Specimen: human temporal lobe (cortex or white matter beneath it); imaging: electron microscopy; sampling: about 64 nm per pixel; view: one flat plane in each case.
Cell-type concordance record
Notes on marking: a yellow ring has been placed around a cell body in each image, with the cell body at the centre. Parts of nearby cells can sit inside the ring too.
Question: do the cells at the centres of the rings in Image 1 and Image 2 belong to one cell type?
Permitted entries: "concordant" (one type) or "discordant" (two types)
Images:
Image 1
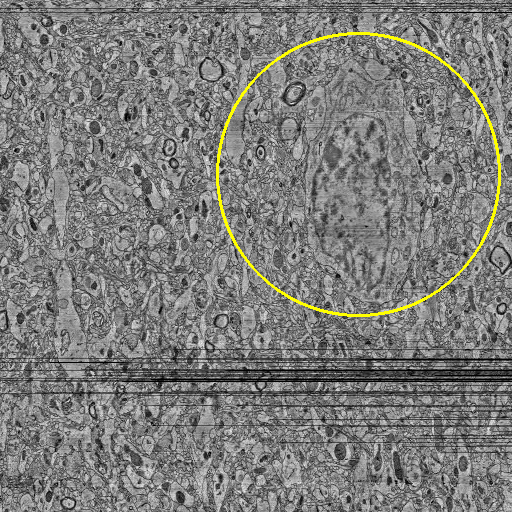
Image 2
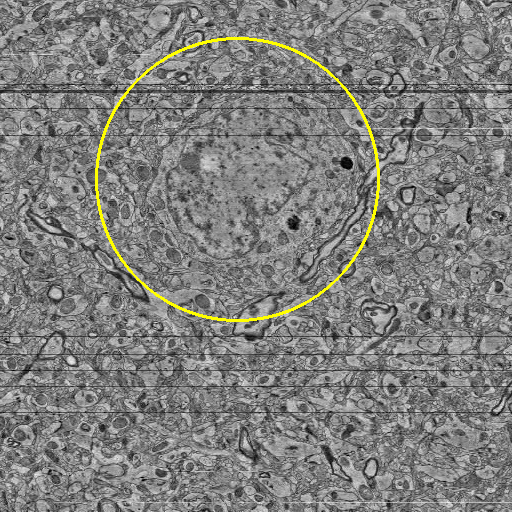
concordant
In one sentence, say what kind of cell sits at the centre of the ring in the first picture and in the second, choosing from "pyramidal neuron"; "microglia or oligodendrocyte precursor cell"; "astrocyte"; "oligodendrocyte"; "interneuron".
Both cells are the same kind, each one being an interneuron.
